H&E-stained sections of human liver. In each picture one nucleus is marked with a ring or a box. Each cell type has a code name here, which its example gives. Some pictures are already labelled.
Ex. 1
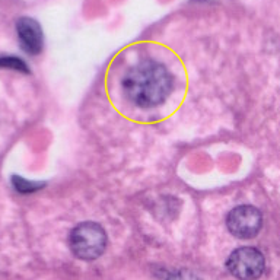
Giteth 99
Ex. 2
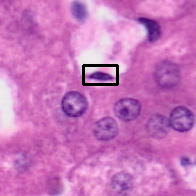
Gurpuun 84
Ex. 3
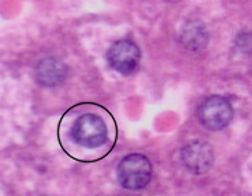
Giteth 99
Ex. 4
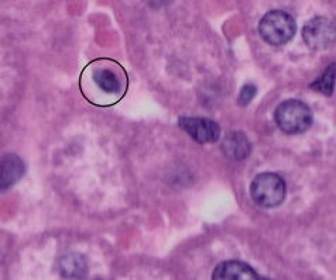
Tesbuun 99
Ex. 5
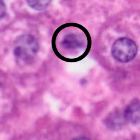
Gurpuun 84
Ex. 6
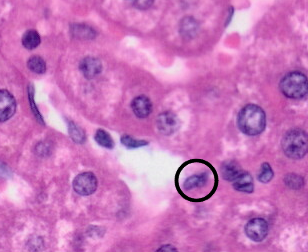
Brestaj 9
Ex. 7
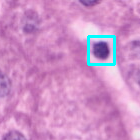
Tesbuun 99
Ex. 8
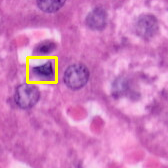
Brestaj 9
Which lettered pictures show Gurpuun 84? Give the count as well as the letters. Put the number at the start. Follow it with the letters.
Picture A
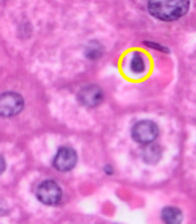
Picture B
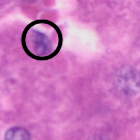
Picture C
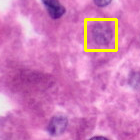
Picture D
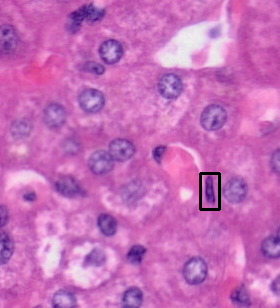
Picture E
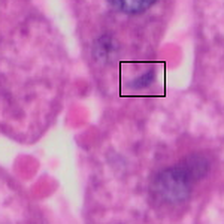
1, namely B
